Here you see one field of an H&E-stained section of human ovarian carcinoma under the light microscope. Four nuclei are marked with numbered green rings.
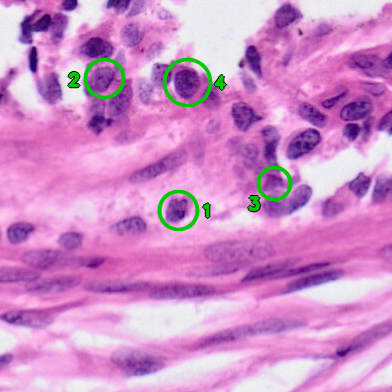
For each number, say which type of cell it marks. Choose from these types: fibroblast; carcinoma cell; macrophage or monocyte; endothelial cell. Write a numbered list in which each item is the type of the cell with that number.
1. macrophage or monocyte
2. carcinoma cell
3. carcinoma cell
4. carcinoma cell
